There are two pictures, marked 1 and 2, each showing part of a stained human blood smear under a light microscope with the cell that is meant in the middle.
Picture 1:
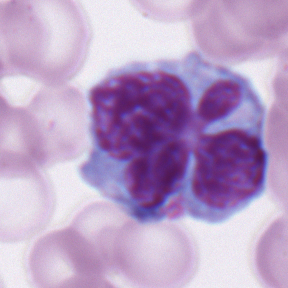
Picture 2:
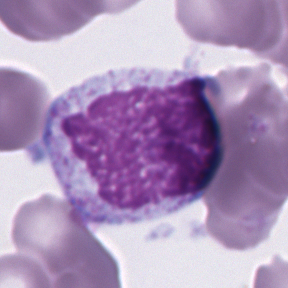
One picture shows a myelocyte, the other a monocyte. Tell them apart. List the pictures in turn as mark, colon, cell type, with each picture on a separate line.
1: monocyte
2: myelocyte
